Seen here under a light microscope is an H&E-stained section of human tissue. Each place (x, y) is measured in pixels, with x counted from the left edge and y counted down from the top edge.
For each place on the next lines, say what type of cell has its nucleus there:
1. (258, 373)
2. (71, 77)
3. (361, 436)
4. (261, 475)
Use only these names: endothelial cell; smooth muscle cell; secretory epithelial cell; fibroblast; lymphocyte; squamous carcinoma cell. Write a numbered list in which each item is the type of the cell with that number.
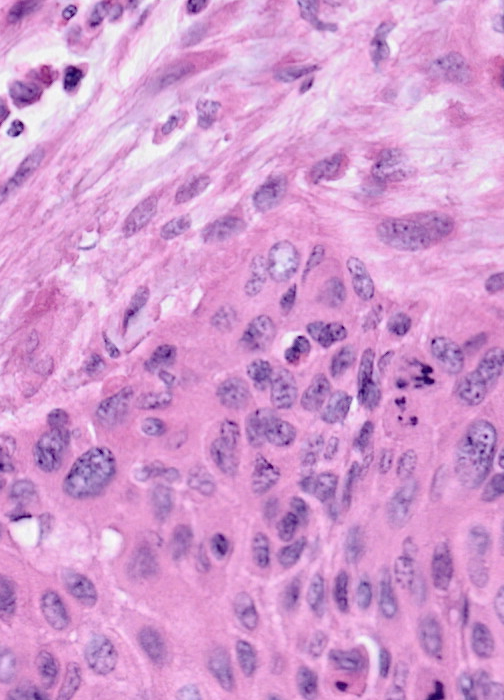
1. squamous carcinoma cell
2. lymphocyte
3. squamous carcinoma cell
4. squamous carcinoma cell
